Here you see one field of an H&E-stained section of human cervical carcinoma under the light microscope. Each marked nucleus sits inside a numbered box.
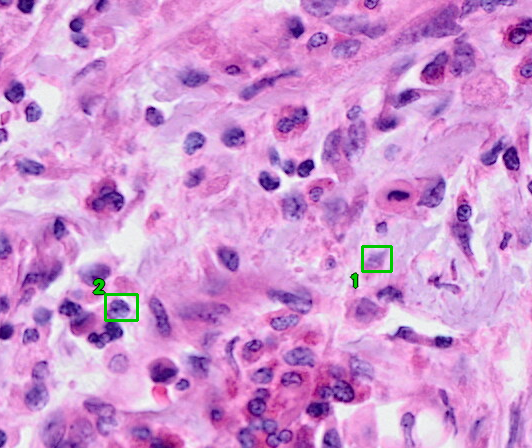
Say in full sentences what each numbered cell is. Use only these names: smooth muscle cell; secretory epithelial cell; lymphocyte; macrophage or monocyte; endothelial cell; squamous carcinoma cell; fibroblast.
Cell 1 is a fibroblast and cell 2 is a lymphocyte.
